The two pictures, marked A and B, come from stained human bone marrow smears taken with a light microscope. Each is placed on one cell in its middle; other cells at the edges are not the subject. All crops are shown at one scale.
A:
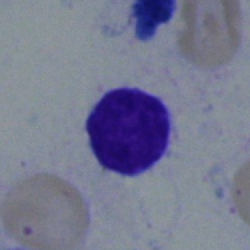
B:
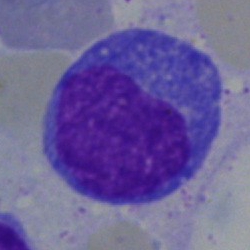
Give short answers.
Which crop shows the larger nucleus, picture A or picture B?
B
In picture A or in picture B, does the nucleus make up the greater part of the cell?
A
